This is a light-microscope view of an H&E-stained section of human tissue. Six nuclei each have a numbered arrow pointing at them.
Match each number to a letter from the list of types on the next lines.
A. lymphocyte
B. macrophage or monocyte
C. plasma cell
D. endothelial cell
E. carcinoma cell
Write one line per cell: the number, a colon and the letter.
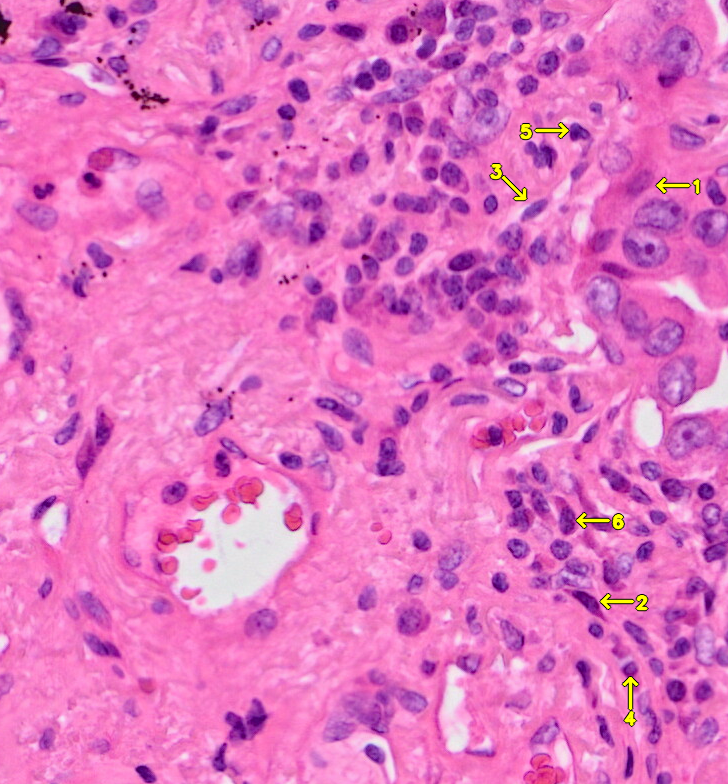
1: E
2: C
3: A
4: C
5: A
6: C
